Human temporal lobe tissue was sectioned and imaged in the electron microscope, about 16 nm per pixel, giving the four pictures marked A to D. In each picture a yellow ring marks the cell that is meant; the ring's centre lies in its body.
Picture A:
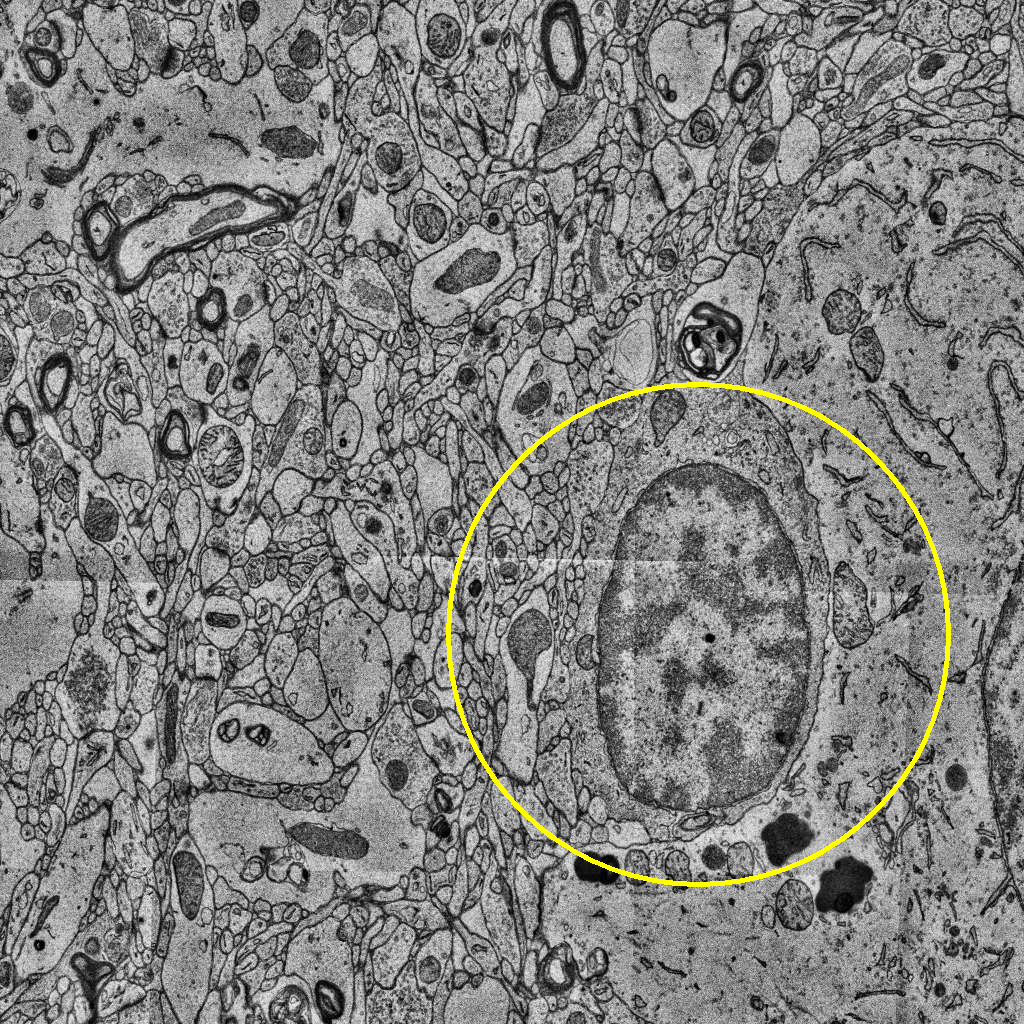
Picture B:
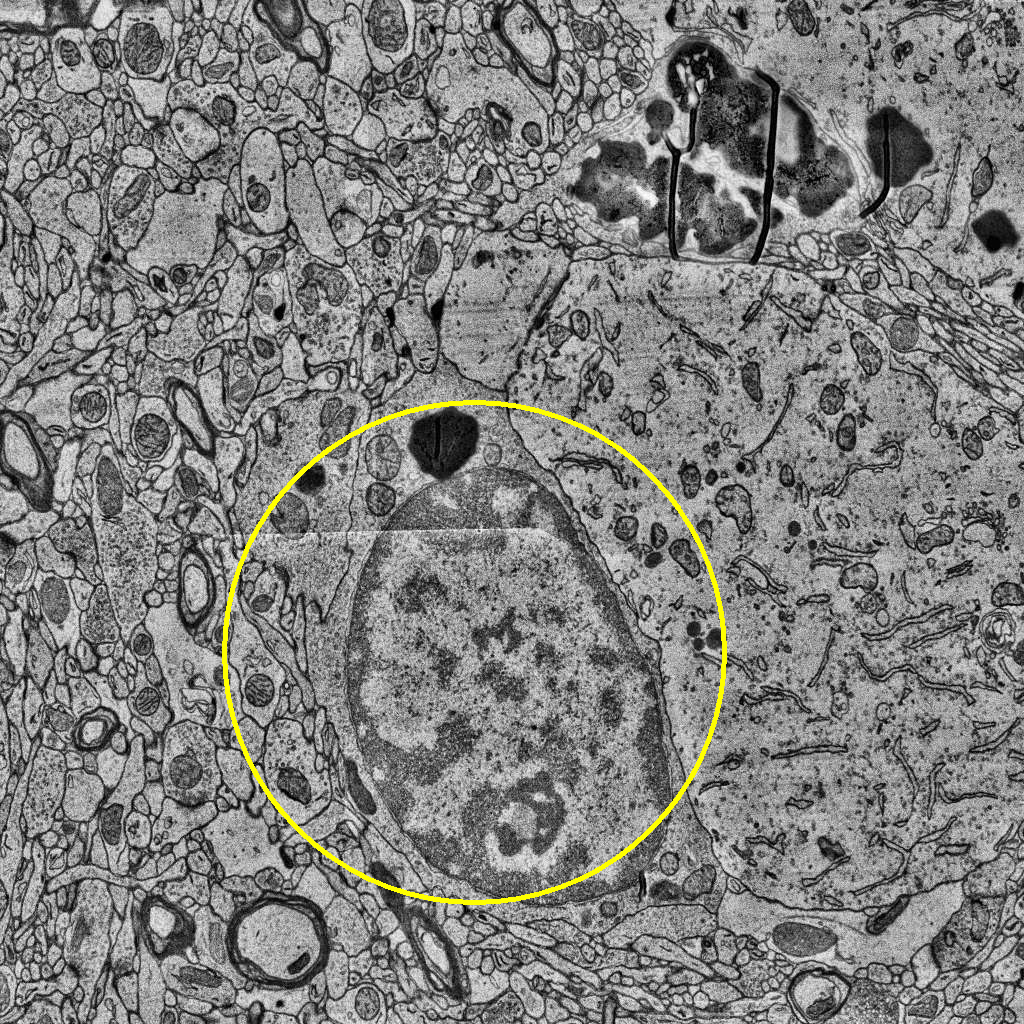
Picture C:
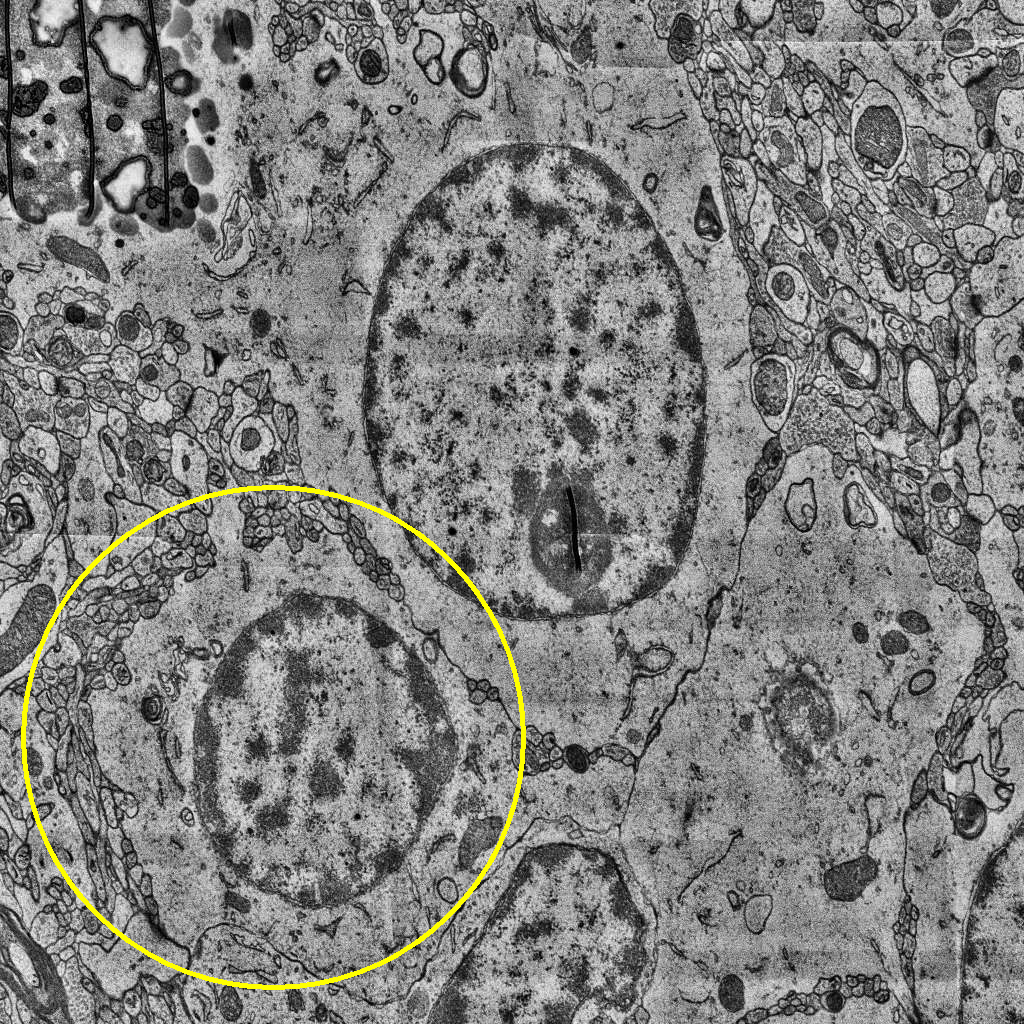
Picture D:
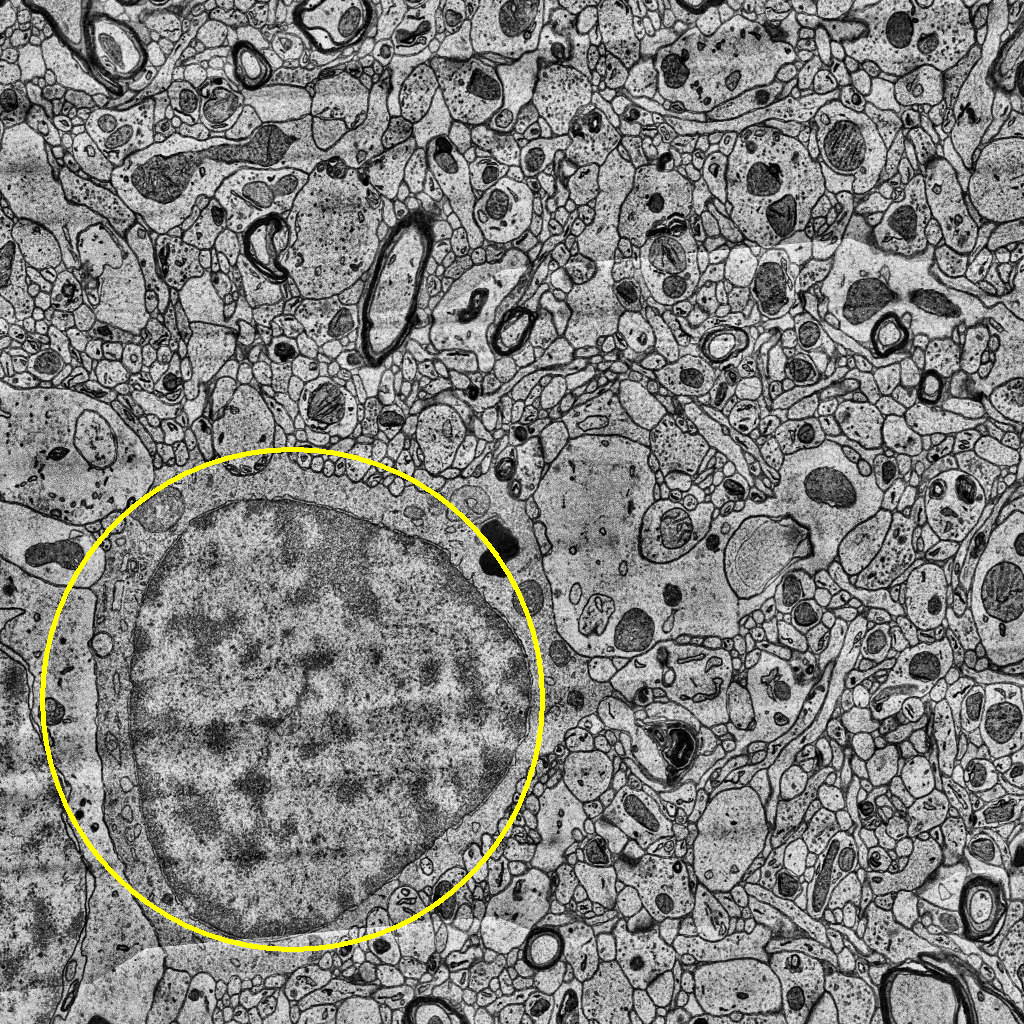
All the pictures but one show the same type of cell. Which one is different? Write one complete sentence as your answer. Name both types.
The different one is picture C; it shows an astrocyte, whereas all the others show oligodendrocytes.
